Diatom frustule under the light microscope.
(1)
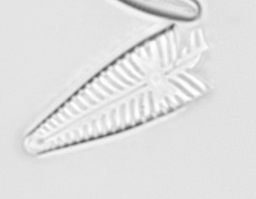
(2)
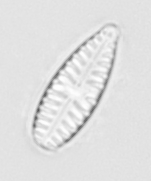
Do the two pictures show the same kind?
Yes, both are Gomphonella.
